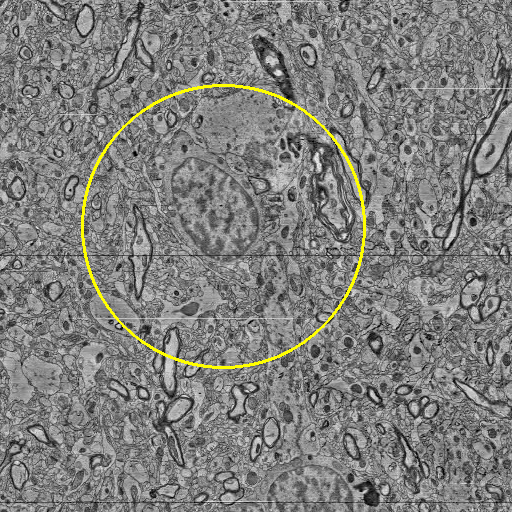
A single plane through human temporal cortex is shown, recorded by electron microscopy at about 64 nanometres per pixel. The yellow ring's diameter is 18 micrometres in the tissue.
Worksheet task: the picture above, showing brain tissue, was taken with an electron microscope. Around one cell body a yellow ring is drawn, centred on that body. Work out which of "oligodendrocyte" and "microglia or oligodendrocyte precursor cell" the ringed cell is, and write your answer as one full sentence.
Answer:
It is an oligodendrocyte whose cell body lies at the centre of the yellow ring.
